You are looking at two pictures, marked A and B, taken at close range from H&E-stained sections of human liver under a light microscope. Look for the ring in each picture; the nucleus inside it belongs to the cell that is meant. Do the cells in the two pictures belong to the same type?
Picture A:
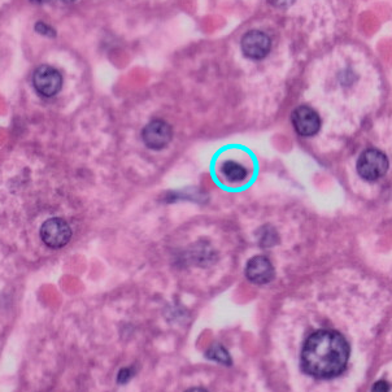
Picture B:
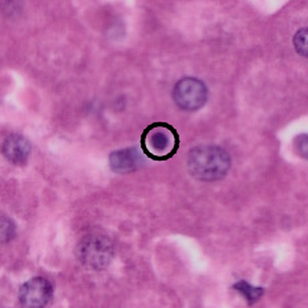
yes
